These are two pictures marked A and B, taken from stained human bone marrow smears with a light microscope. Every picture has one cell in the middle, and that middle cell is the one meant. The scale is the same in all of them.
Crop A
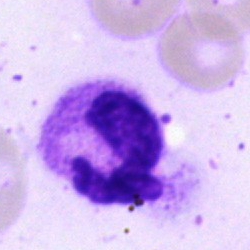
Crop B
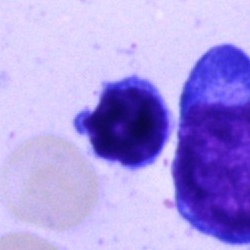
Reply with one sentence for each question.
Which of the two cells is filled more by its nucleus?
The nucleus fills more of the cell in crop B than in crop A.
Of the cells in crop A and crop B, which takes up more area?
Crop A holds the larger cell; it covers about 2 times the area of the cell in crop B.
